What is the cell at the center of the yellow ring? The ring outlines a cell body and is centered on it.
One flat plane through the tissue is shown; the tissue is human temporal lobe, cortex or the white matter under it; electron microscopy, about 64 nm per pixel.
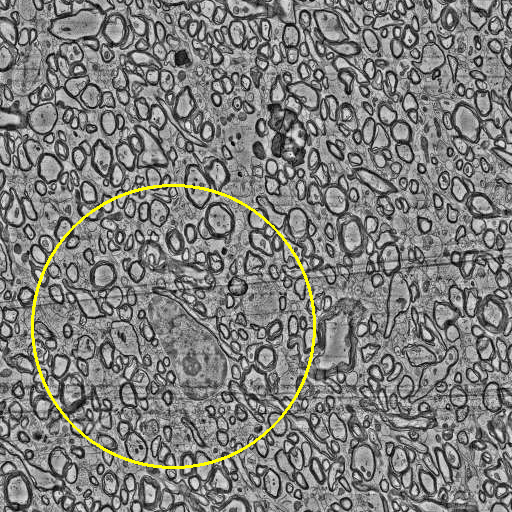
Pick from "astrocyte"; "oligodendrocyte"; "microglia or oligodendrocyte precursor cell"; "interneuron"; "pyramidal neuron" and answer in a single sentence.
The yellow ring is centered on a microglial cell or oligodendrocyte precursor cell.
